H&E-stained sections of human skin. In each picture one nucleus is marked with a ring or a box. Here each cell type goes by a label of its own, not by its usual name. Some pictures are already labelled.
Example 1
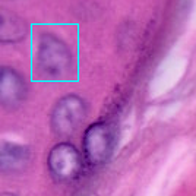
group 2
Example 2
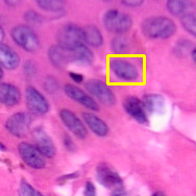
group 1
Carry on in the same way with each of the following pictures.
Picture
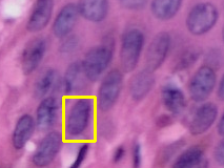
group 1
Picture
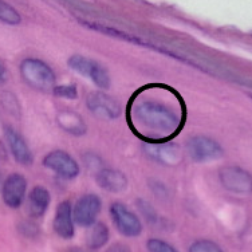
group 2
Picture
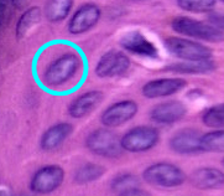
group 2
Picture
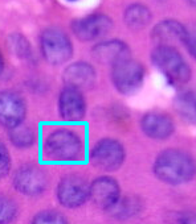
group 2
